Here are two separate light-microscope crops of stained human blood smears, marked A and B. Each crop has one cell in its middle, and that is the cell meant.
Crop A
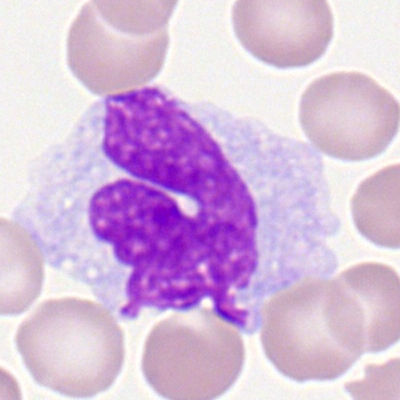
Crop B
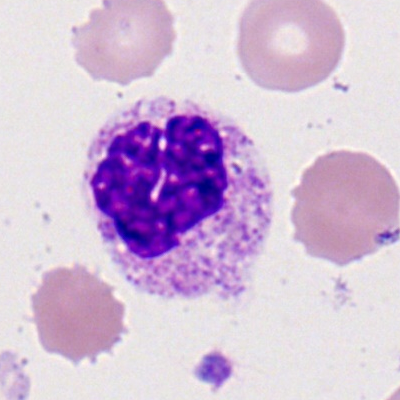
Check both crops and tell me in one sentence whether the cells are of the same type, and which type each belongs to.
No, while a monocyte is found in crop A, a band neutrophil is found in crop B.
